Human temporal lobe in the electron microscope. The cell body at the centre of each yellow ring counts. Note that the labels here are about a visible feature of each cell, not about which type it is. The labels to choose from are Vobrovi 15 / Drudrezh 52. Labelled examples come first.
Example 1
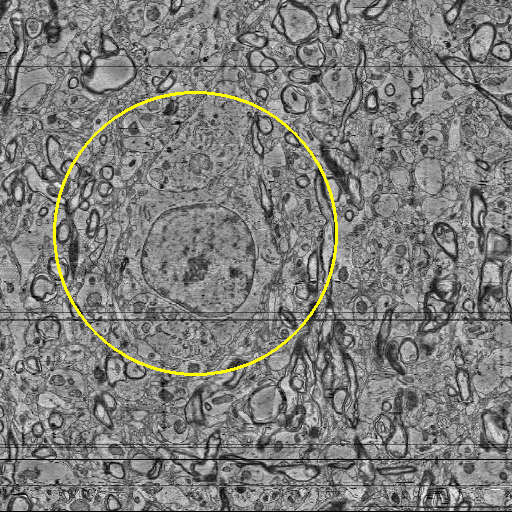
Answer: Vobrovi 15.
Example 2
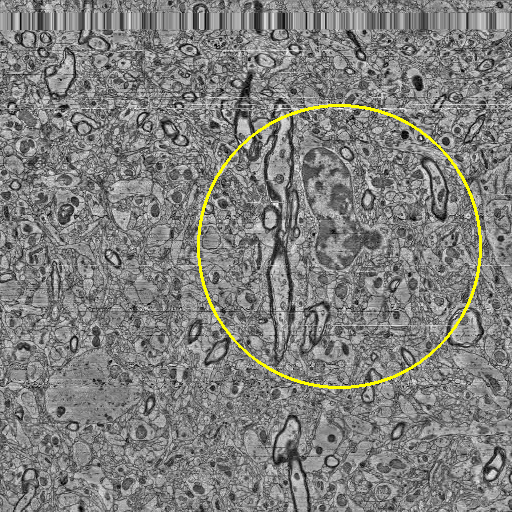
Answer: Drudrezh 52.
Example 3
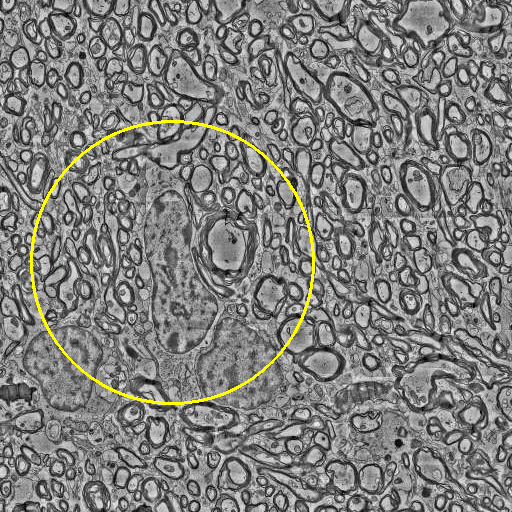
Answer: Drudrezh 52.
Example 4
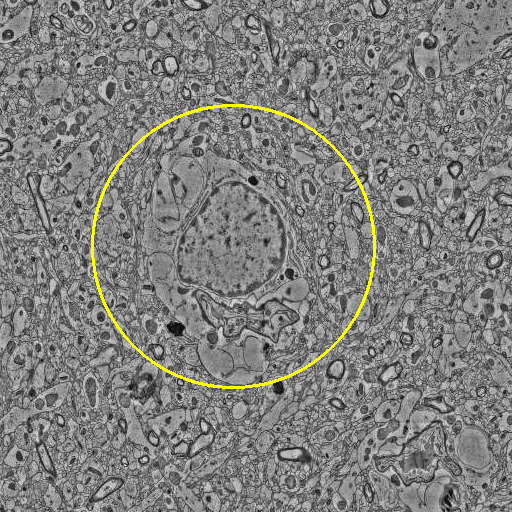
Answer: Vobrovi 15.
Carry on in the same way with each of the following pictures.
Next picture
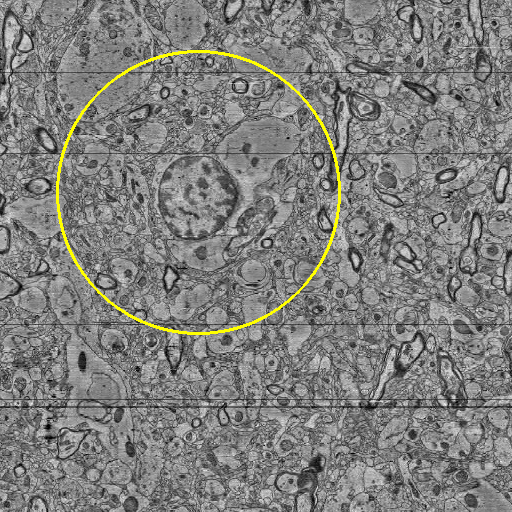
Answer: Vobrovi 15.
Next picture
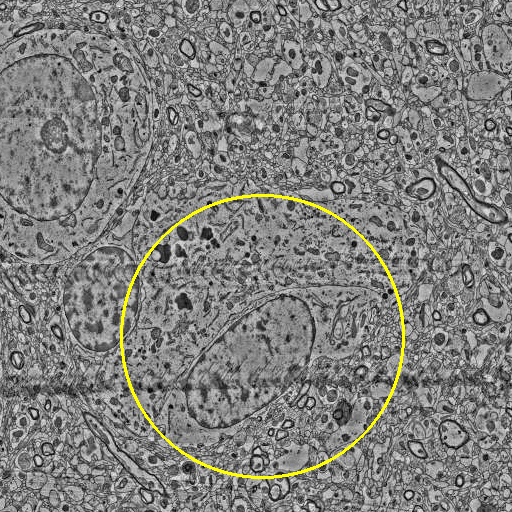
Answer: Drudrezh 52.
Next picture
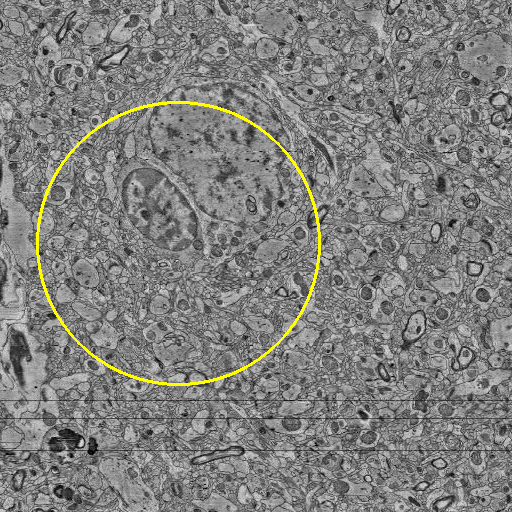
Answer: Drudrezh 52.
